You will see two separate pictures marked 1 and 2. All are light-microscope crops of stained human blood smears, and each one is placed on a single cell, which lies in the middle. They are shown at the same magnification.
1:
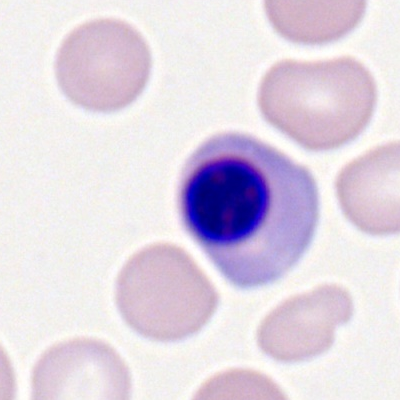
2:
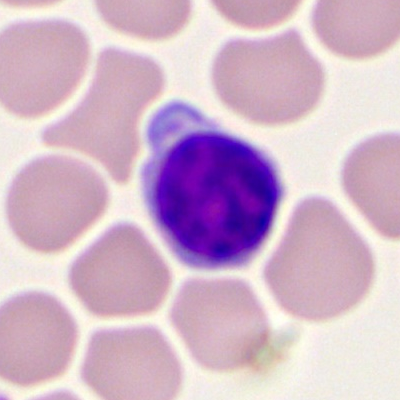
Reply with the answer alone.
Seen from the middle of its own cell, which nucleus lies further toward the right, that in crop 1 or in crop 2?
2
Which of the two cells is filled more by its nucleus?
2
